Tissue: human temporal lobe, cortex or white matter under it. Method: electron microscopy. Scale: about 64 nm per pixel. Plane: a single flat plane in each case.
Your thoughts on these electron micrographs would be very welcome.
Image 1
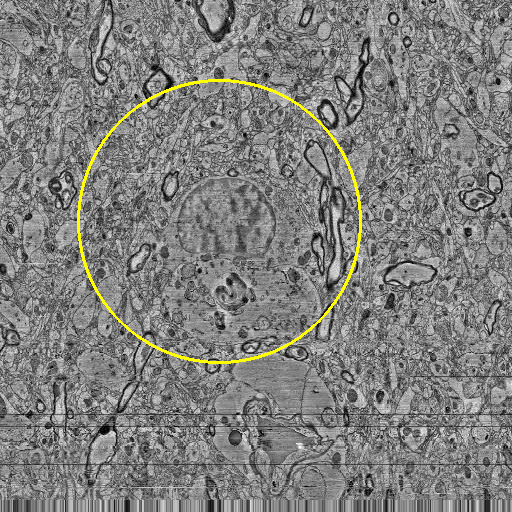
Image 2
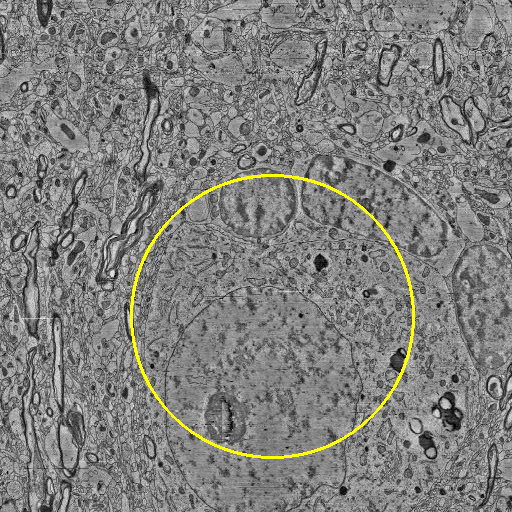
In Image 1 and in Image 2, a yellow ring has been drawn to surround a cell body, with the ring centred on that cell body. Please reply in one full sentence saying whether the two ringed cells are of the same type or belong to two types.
The ringed cells in Image 1 and Image 2 belong to two types.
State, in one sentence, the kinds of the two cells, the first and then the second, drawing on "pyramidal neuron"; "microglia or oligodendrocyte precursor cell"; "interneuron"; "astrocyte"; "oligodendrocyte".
The ring in the second picture is centred on a pyramidal neuron, the ring in the first on an oligodendrocyte.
